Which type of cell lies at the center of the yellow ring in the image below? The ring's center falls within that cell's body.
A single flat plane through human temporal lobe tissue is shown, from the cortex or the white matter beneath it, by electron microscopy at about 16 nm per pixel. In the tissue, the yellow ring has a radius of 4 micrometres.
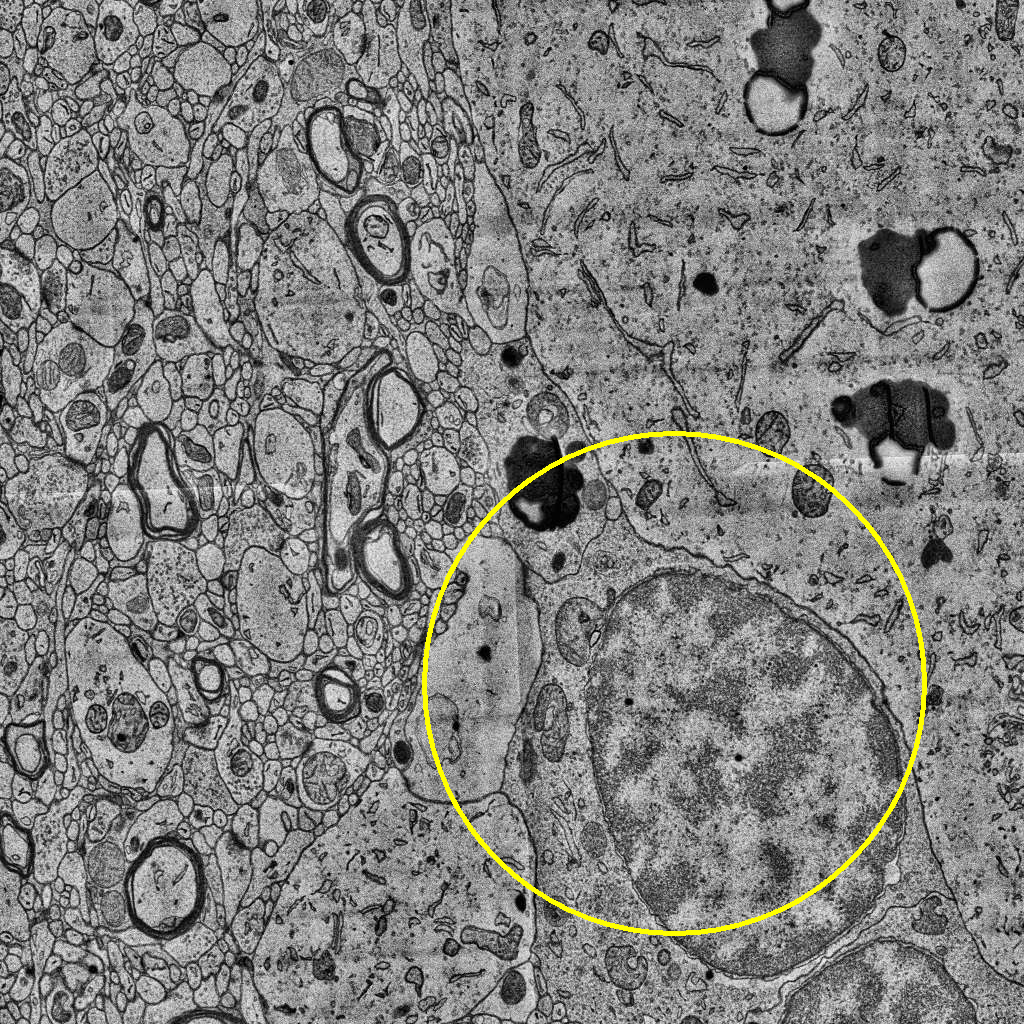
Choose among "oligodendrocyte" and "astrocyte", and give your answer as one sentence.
The cell body at the center belongs to an oligodendrocyte.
